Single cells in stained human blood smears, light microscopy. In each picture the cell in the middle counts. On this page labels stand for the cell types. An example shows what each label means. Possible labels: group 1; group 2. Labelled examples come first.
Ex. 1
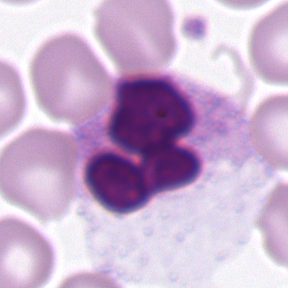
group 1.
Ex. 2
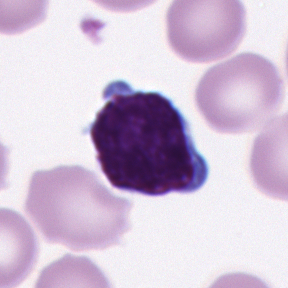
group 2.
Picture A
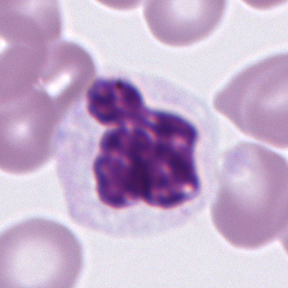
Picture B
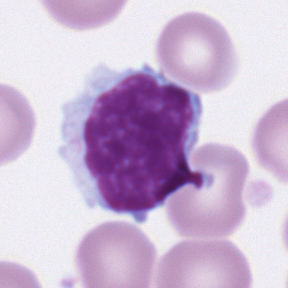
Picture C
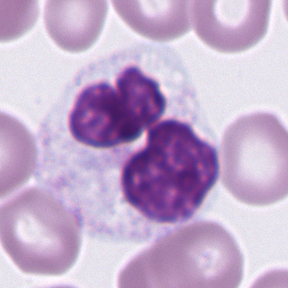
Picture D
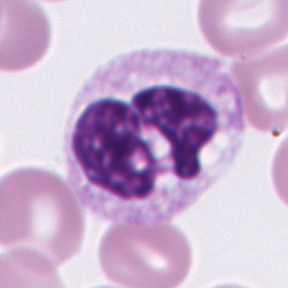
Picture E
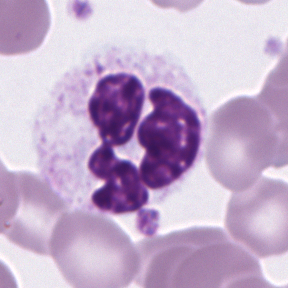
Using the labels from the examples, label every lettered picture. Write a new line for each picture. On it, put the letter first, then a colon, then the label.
A: group 1.
B: group 2.
C: group 1.
D: group 1.
E: group 1.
